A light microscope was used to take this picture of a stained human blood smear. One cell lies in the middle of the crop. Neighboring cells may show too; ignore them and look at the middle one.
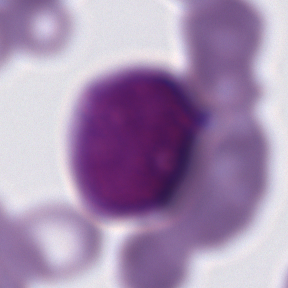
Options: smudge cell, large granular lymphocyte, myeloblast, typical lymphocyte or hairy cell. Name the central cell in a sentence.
For this crop, the cell in the middle is a smudge cell.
